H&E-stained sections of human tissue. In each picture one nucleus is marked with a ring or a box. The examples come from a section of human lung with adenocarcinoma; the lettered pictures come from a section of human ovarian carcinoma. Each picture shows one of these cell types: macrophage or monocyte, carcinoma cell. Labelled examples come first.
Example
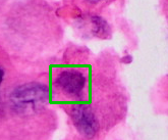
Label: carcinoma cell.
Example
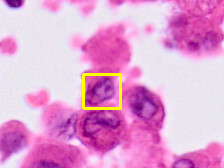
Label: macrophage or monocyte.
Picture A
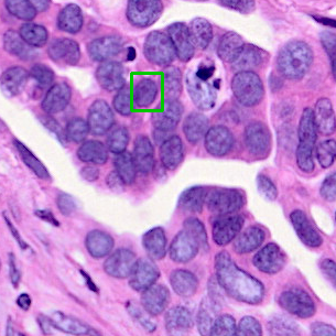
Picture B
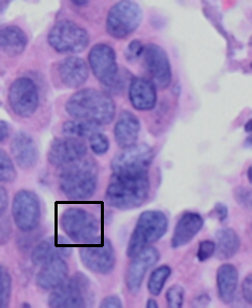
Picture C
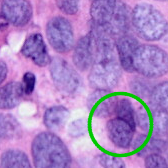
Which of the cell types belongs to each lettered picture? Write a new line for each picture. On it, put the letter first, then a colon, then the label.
A: carcinoma cell.
B: carcinoma cell.
C: carcinoma cell.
